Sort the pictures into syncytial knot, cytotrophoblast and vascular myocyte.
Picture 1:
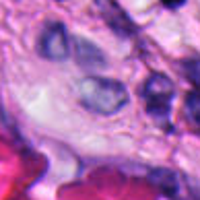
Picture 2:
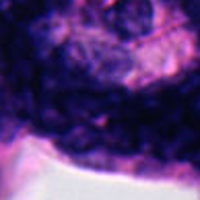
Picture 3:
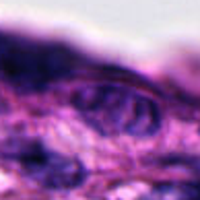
Vascular myocytes: 1
Syncytial knots: 2
Cytotrophoblasts: 3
